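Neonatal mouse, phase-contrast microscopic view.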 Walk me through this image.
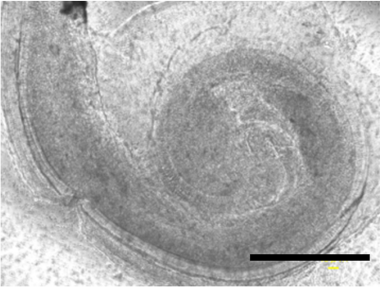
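The tissue forms a strip wound into a spiral of about one and a half to two turns, from a broad outer base coiling inward to a tight apex at the centre. Along the strip, thin parallel lines follow the curve of the coil.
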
